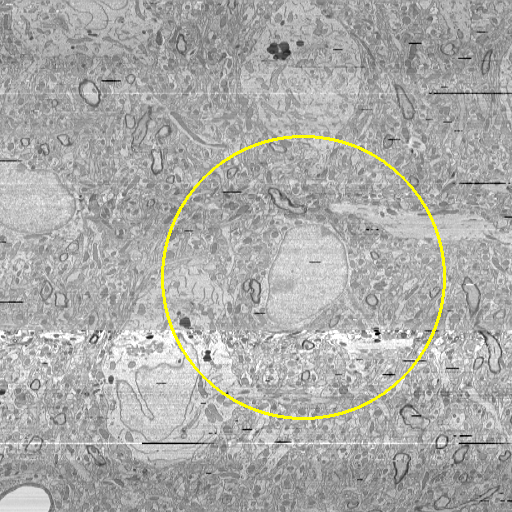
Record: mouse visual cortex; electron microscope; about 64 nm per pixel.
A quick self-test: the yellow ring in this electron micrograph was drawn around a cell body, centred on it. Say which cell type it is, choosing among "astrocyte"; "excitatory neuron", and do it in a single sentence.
The yellow-ringed cell is an astrocyte.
